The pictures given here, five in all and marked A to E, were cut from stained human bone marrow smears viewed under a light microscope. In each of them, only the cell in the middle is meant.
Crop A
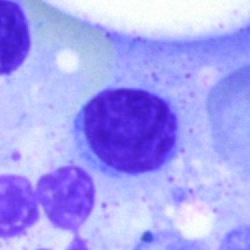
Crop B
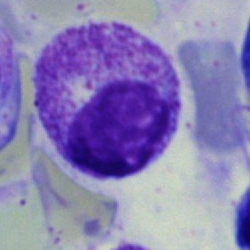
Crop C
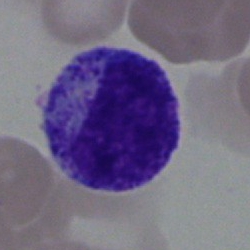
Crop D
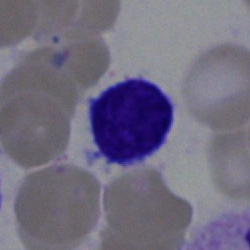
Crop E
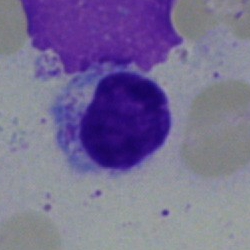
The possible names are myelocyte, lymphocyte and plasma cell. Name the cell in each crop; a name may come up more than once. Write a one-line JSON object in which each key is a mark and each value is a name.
{"A": "lymphocyte", "B": "myelocyte", "C": "myelocyte", "D": "lymphocyte", "E": "lymphocyte"}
